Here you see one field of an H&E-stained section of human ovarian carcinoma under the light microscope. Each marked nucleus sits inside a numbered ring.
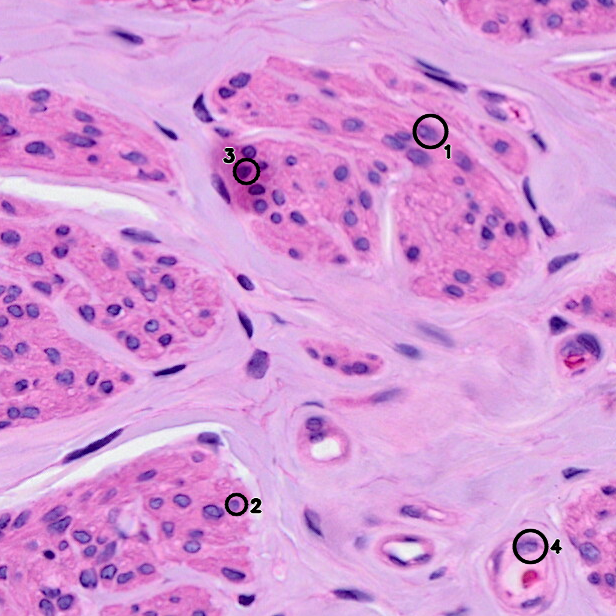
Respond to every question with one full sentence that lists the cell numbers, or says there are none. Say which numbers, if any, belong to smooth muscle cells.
The numbers 1, 2 and 3 in this section indicate smooth muscle cells.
